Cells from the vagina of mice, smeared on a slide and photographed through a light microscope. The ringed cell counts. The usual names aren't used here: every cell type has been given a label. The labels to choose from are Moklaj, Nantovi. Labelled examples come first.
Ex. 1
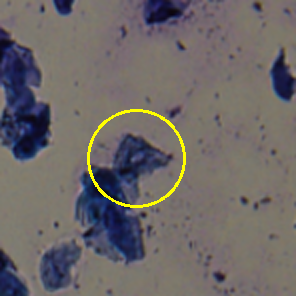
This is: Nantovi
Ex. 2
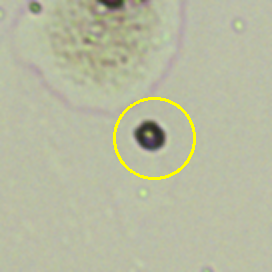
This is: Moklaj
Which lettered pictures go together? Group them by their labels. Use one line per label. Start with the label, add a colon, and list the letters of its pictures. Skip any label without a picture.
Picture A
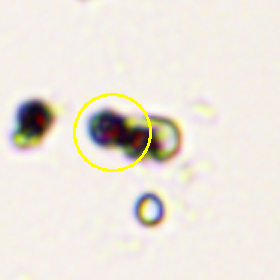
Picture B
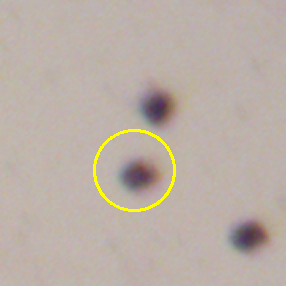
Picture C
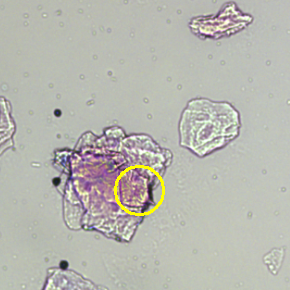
Moklaj: A, B
Nantovi: C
